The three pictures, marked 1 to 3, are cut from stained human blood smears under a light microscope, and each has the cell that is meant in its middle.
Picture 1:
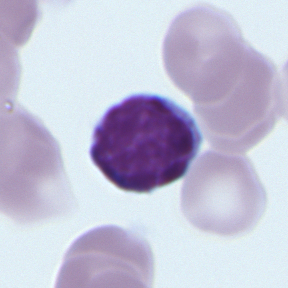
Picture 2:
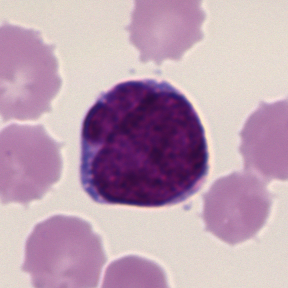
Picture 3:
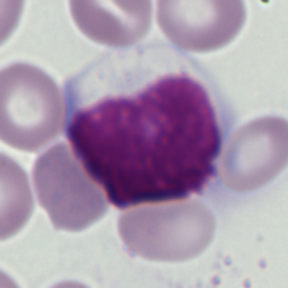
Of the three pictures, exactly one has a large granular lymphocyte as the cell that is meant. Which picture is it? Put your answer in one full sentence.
Picture 3 is the one that shows the large granular lymphocyte.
